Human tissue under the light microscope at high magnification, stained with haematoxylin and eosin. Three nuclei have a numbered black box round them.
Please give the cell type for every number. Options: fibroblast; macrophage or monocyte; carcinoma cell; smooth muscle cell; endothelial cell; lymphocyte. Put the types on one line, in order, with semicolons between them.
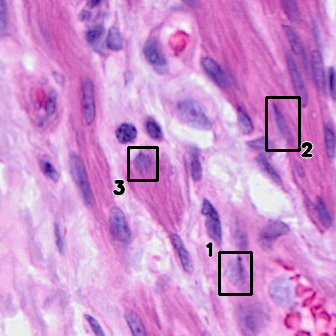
fibroblast; smooth muscle cell; smooth muscle cell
